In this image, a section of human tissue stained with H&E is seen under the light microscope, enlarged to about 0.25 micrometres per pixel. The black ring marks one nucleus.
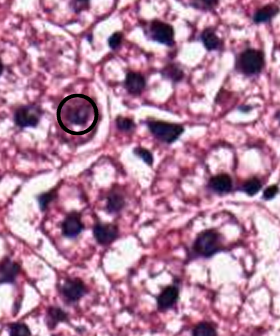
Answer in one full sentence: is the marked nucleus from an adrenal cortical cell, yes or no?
Yes, the marked nucleus belongs to an adrenal cortical cell in this image.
